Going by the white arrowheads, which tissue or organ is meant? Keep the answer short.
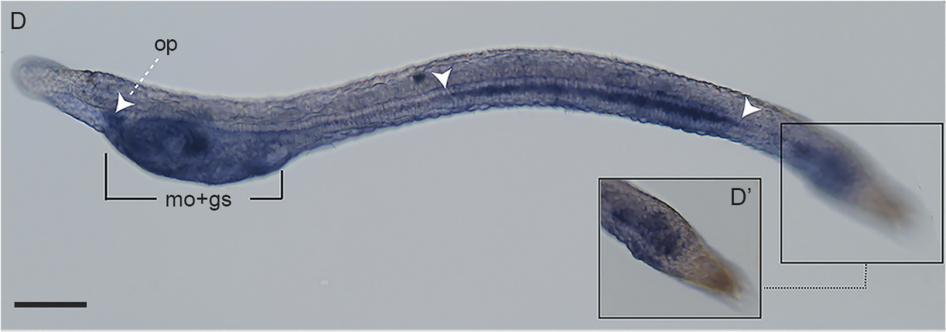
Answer: Gut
